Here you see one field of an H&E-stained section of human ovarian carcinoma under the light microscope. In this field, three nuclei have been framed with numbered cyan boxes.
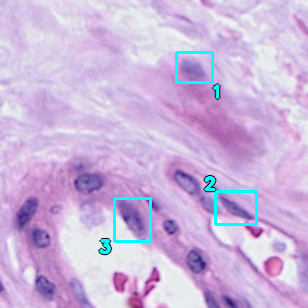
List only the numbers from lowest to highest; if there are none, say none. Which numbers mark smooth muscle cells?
1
